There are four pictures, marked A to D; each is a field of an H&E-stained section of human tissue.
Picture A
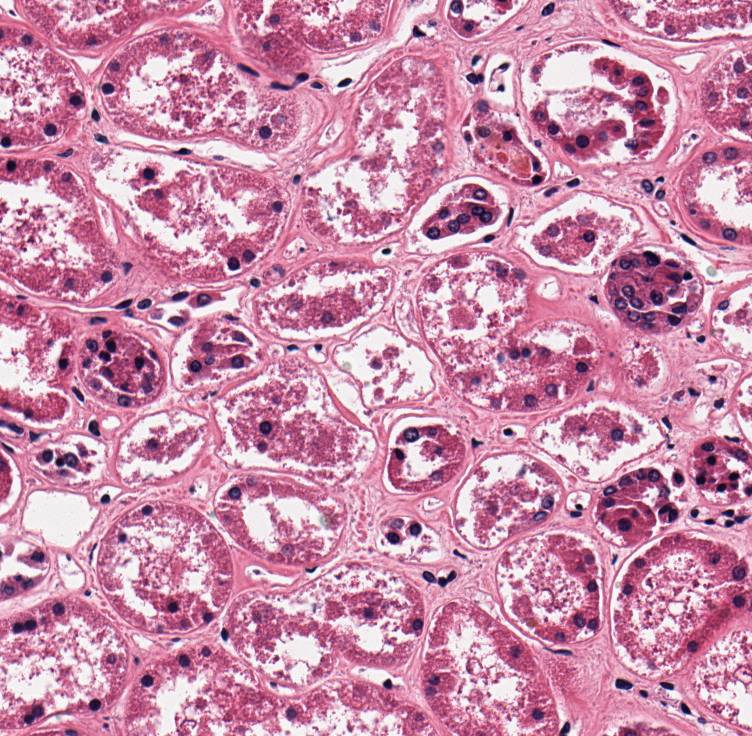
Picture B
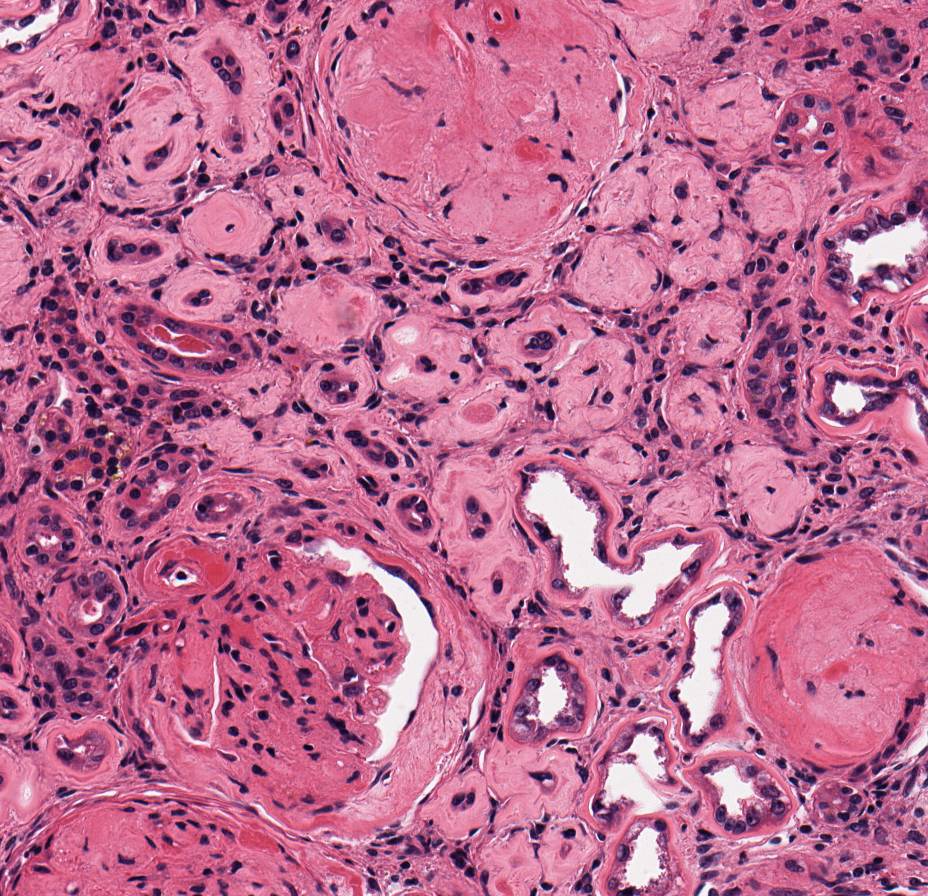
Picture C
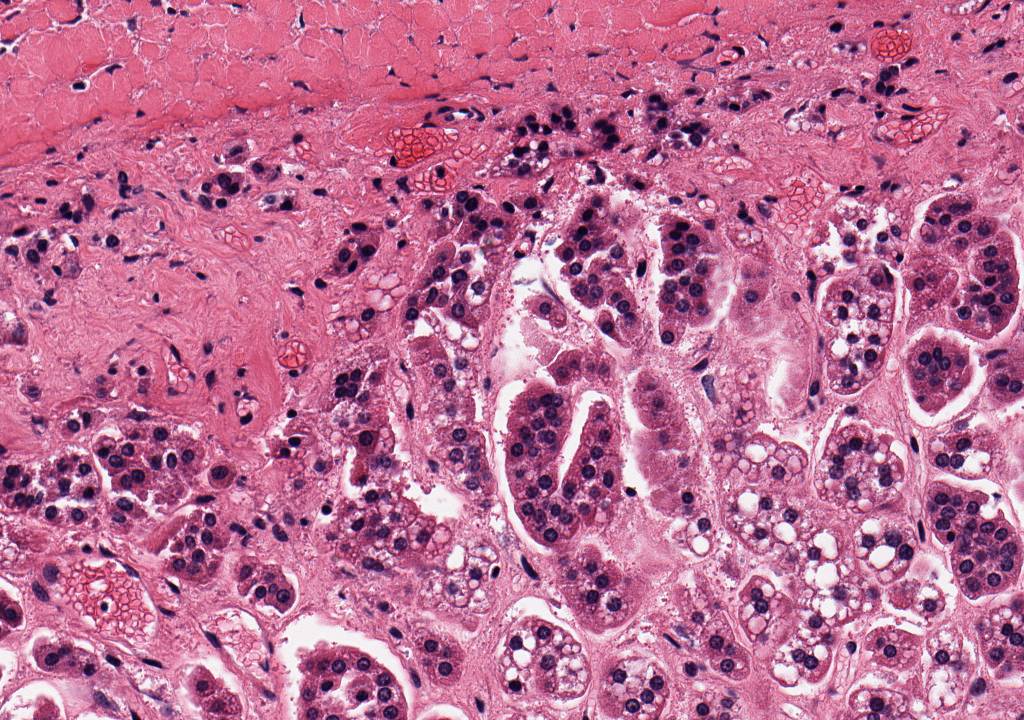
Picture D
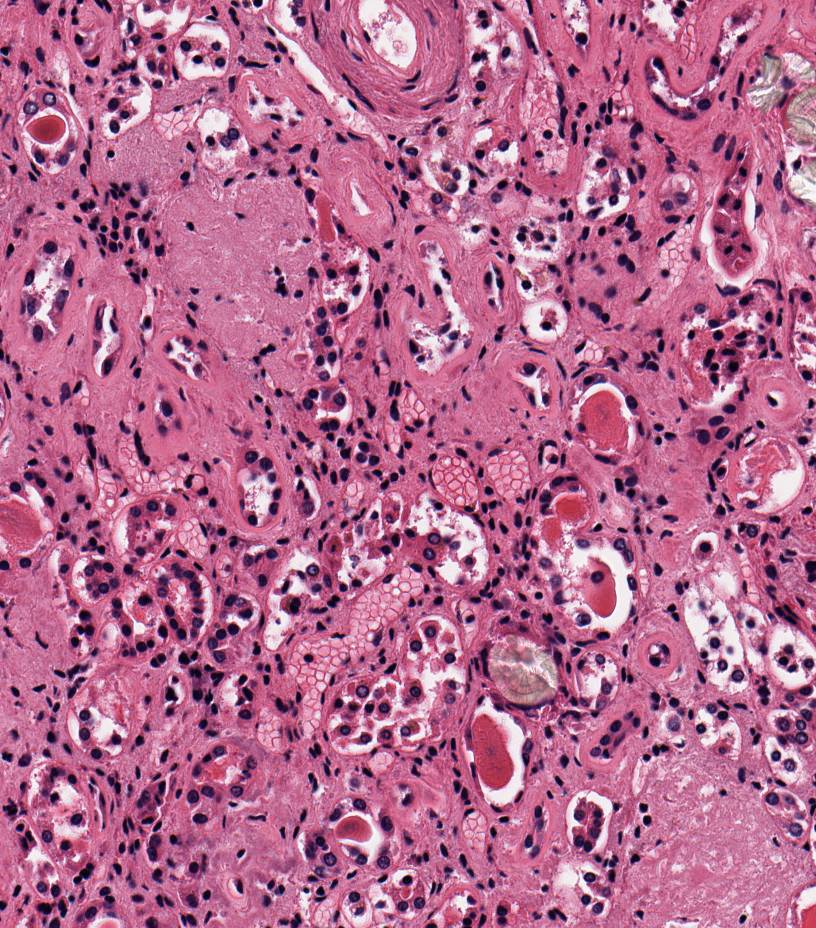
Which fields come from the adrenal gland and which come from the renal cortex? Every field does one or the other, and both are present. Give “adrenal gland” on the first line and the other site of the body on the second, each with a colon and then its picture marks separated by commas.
adrenal gland: C
renal cortex: A, B, D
